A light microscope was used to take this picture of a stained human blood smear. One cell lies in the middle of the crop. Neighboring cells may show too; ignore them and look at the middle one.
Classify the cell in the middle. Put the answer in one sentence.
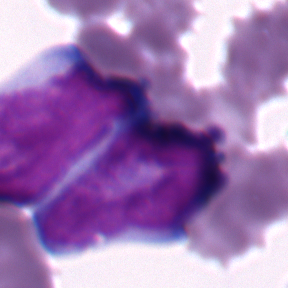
The cell sitting right in the middle is a myeloblast.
